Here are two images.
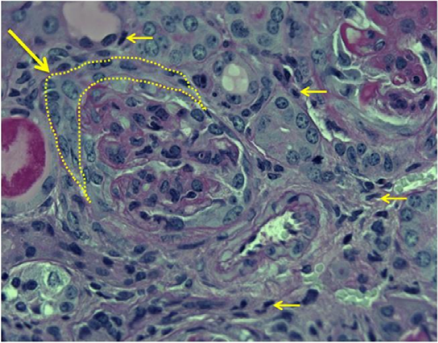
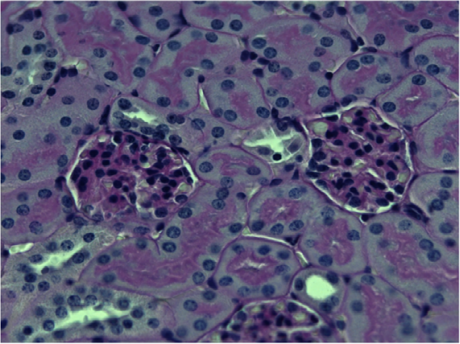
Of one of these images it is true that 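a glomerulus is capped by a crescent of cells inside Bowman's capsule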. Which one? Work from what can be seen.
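First image: a layered band of cells lies between the glomerular tuft and the capsule. Second image: the glomeruli have a thin capsule with an open space and no cellular band. On this evidence: the first image.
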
